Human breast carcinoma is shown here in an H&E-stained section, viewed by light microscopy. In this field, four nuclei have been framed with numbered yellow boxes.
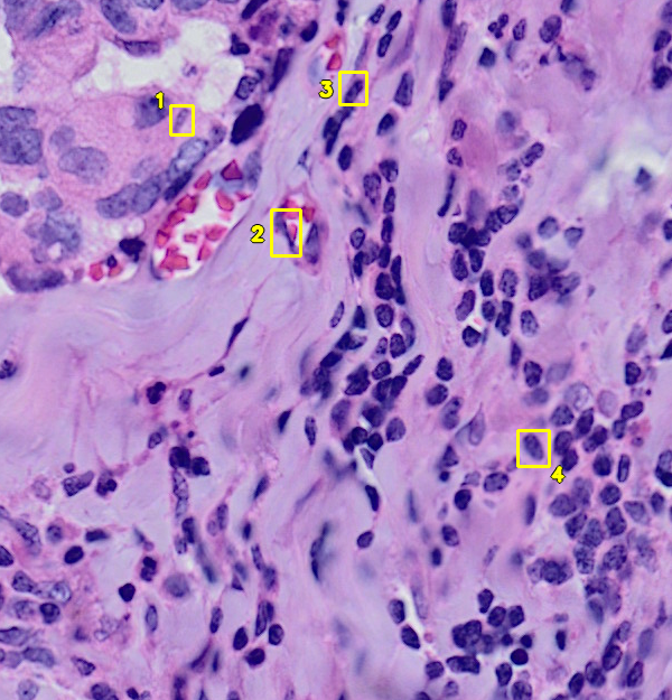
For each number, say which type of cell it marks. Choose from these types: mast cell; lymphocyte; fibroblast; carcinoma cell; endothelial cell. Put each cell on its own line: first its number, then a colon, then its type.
1: carcinoma cell
2: endothelial cell
3: endothelial cell
4: lymphocyte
